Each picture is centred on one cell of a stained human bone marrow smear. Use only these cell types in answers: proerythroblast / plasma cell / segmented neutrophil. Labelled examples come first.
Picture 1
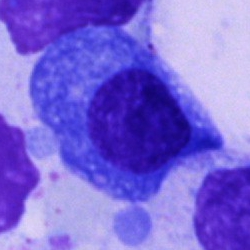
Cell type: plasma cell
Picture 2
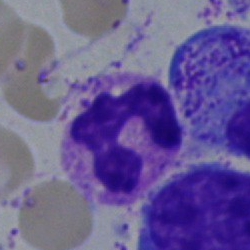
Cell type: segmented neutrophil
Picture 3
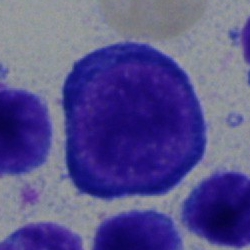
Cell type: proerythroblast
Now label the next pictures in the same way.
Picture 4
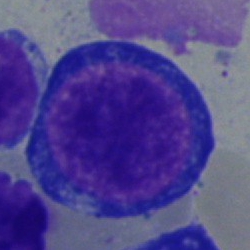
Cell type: proerythroblast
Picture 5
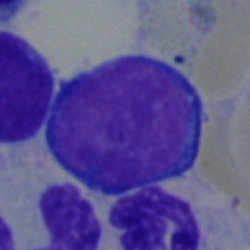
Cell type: proerythroblast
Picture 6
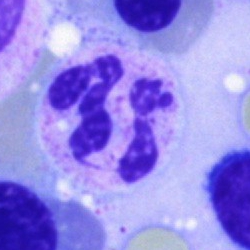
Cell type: segmented neutrophil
